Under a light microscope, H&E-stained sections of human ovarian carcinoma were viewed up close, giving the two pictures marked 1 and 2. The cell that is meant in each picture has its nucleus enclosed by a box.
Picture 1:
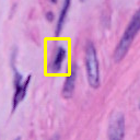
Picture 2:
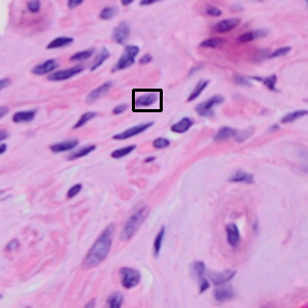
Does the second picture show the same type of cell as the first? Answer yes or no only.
yes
